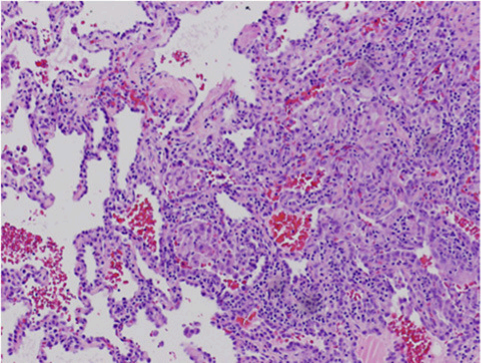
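This is lung tissue at low power, where thin-walled air spaces on the left give way to a dense, cellular area on the right. Toward the right the walls are thickened and crowded with many small dark round nuclei of lymphocytes, and among them lie paler pink rounded nodules of larger cells, the granulomas. Congested vessels packed with red cells are scattered through the area, and the normal lace-like pattern of the lung is lost where the inflammation is densest.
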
